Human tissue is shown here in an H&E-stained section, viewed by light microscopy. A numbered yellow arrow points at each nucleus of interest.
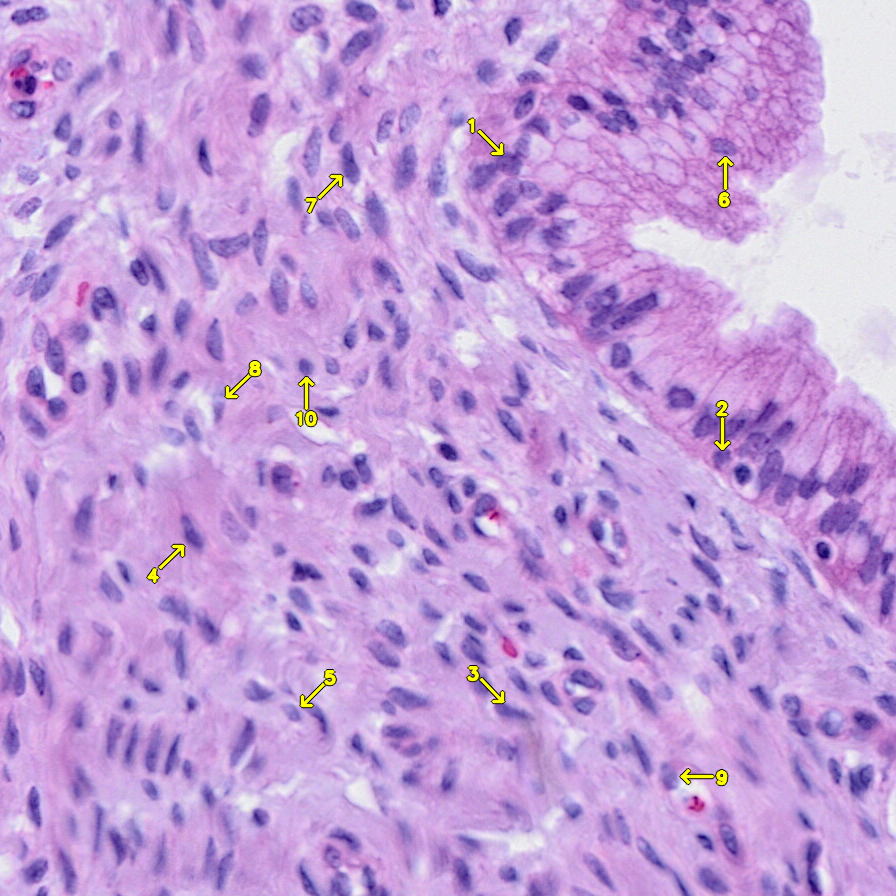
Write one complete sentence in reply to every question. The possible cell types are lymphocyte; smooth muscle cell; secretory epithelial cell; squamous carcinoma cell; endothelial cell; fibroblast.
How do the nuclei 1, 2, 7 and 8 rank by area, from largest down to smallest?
By area, largest first, they run 7, 1, 8, 2.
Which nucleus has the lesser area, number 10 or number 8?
Nucleus 10 covers less area, with nucleus 8 about 1.5 times as large.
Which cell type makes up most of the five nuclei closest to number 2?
Secretory epithelial cells account for more than half of the five nuclei nearest to number 2.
